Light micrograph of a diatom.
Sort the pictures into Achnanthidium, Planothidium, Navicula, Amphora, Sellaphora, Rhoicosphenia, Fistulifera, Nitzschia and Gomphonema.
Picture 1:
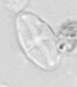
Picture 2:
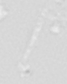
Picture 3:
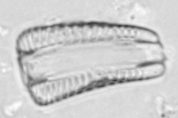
Sellaphora: 1
Fistulifera: 2
Rhoicosphenia: 3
